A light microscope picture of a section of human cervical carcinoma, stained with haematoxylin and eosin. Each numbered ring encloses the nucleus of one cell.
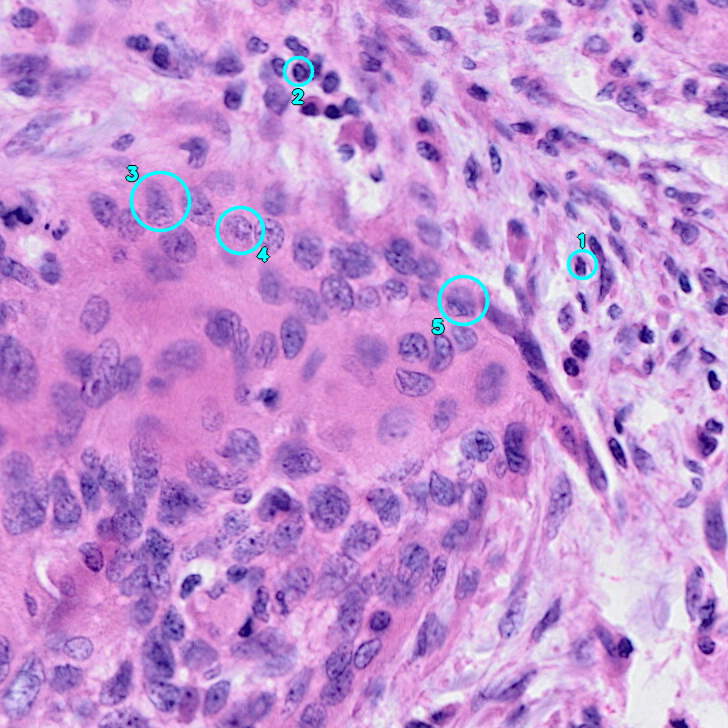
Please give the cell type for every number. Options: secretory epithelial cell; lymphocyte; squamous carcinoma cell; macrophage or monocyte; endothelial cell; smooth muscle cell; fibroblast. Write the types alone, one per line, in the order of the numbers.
lymphocyte
lymphocyte
squamous carcinoma cell
squamous carcinoma cell
squamous carcinoma cell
